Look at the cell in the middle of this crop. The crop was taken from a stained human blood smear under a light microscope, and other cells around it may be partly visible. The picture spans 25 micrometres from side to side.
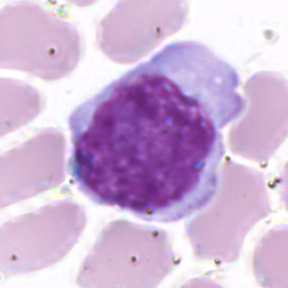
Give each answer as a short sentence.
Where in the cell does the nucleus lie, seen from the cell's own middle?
The nucleus lies toward the lower left of the cell.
